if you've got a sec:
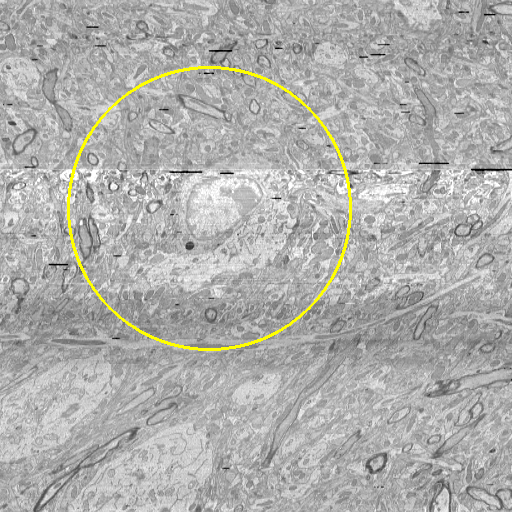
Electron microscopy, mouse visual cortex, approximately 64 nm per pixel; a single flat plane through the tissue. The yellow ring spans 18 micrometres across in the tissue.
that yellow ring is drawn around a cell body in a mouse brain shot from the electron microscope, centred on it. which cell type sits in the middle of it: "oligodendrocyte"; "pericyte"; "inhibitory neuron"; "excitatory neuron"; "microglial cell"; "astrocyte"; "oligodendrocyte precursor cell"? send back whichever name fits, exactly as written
oligodendrocyte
